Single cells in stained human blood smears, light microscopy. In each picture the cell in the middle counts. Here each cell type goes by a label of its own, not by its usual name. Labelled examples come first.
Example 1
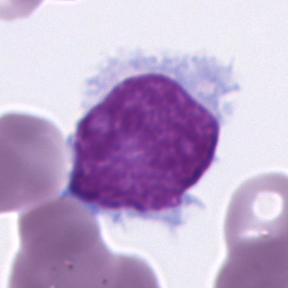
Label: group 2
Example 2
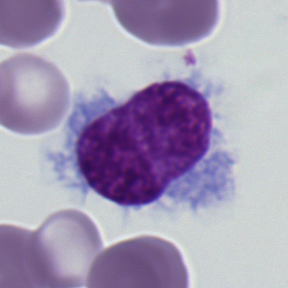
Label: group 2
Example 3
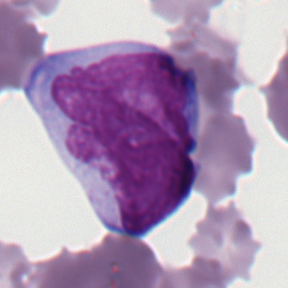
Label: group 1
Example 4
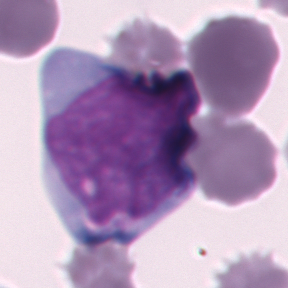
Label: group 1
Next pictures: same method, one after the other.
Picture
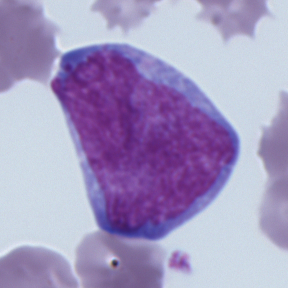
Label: group 1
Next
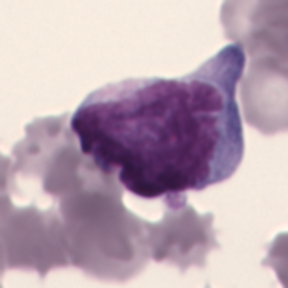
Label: group 1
